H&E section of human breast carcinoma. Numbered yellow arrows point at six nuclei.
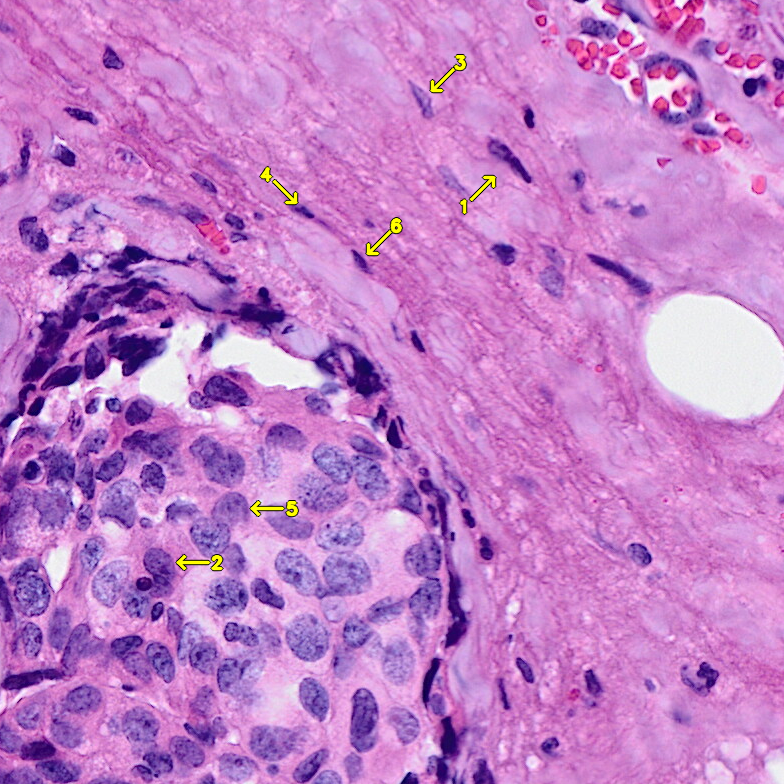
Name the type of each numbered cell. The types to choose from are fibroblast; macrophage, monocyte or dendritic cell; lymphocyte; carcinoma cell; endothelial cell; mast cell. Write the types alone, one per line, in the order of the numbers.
fibroblast
carcinoma cell
fibroblast
fibroblast
carcinoma cell
fibroblast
